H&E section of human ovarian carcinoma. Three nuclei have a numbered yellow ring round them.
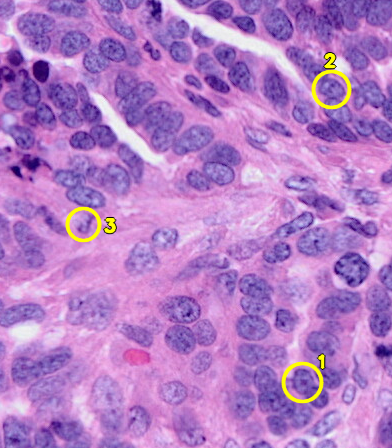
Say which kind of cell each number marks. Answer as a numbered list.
1. carcinoma cell
2. carcinoma cell
3. fibroblast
